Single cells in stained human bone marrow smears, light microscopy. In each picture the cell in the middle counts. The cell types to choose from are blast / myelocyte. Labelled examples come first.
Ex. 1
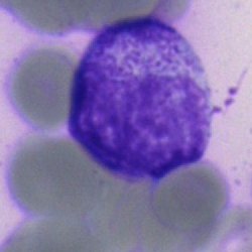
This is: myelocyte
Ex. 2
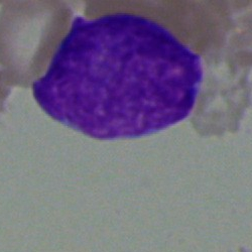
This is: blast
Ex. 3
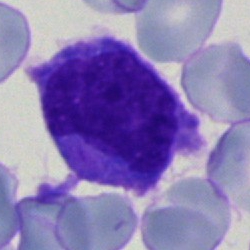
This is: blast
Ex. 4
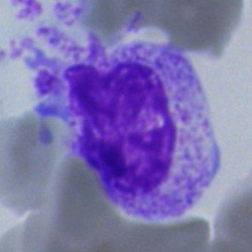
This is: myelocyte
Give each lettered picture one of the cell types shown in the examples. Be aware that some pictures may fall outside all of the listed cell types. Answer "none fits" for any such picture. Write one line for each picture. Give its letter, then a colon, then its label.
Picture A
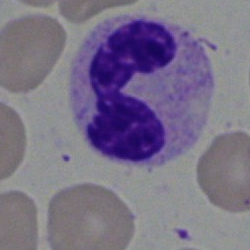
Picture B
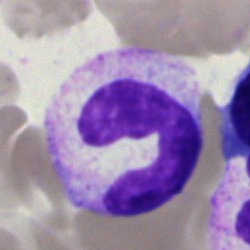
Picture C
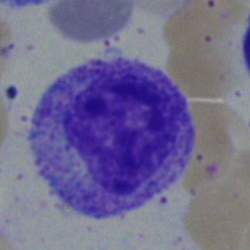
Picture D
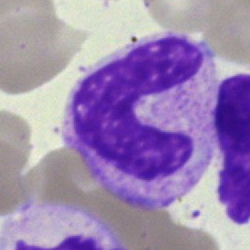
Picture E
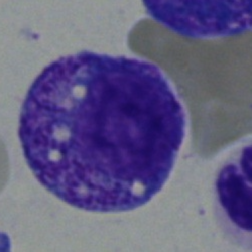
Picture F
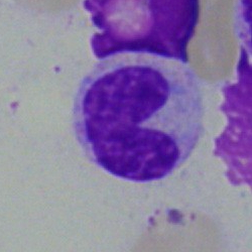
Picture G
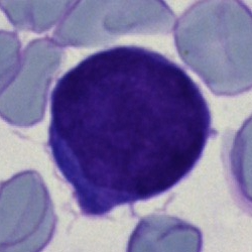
A: none fits
B: none fits
C: myelocyte
D: none fits
E: myelocyte
F: none fits
G: blast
